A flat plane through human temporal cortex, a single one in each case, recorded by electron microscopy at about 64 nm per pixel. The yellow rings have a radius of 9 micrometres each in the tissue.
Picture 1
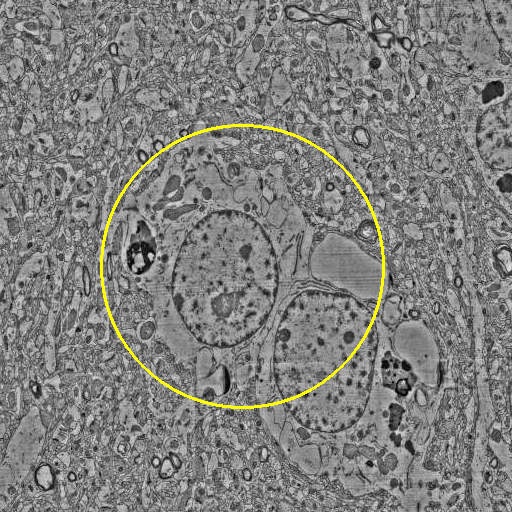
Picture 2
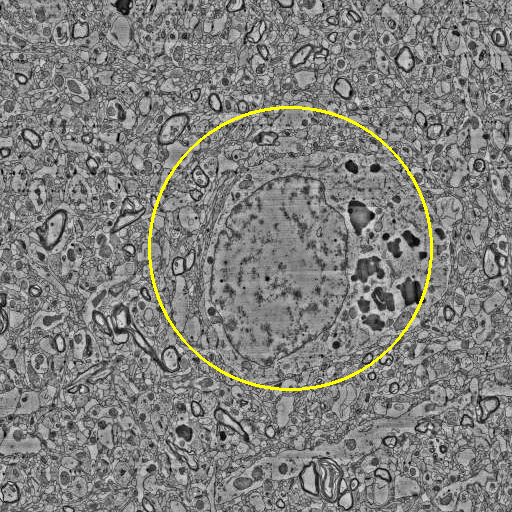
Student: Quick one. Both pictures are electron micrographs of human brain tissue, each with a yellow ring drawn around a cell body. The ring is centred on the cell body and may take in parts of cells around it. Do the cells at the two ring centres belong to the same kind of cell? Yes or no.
no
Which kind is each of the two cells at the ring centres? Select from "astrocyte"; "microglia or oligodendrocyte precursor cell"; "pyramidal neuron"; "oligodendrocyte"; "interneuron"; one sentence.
The cell at the centre of the ring is an astrocyte in the first picture and an interneuron in the second.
